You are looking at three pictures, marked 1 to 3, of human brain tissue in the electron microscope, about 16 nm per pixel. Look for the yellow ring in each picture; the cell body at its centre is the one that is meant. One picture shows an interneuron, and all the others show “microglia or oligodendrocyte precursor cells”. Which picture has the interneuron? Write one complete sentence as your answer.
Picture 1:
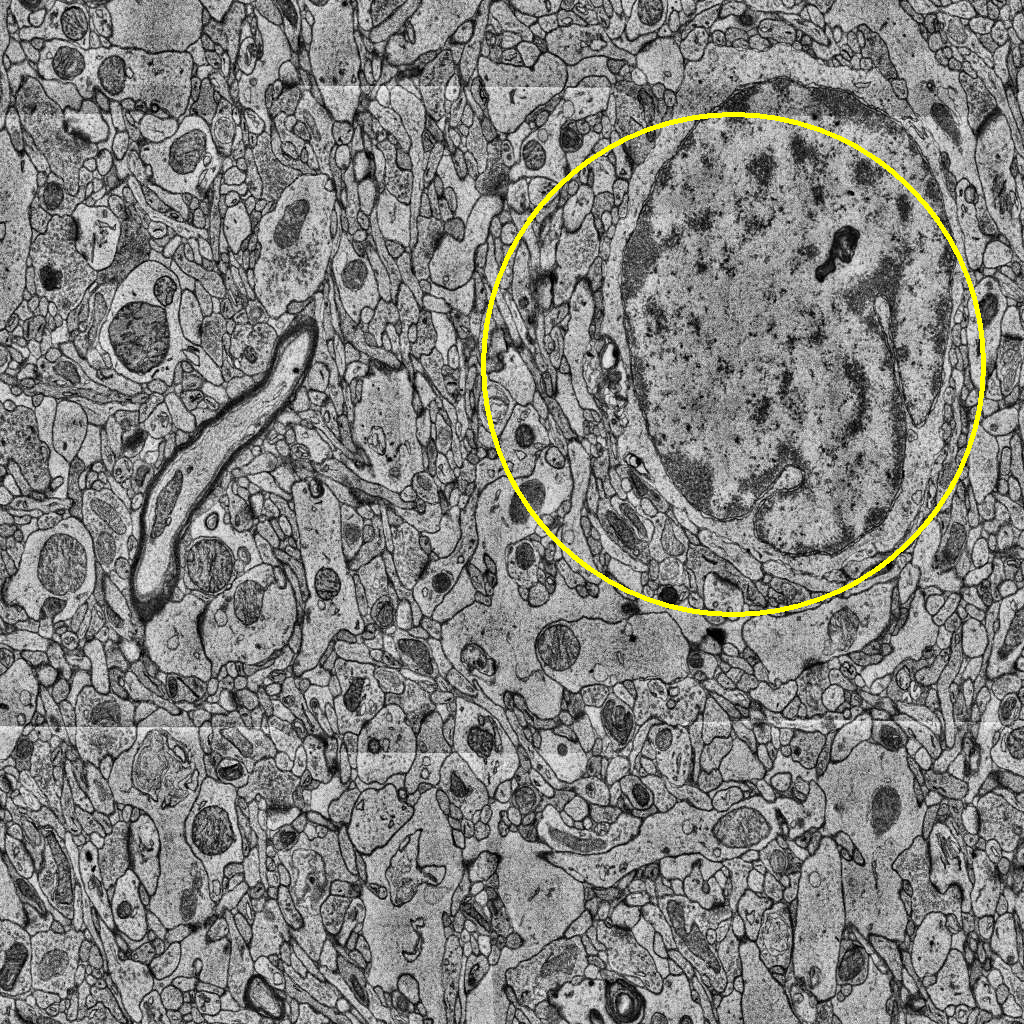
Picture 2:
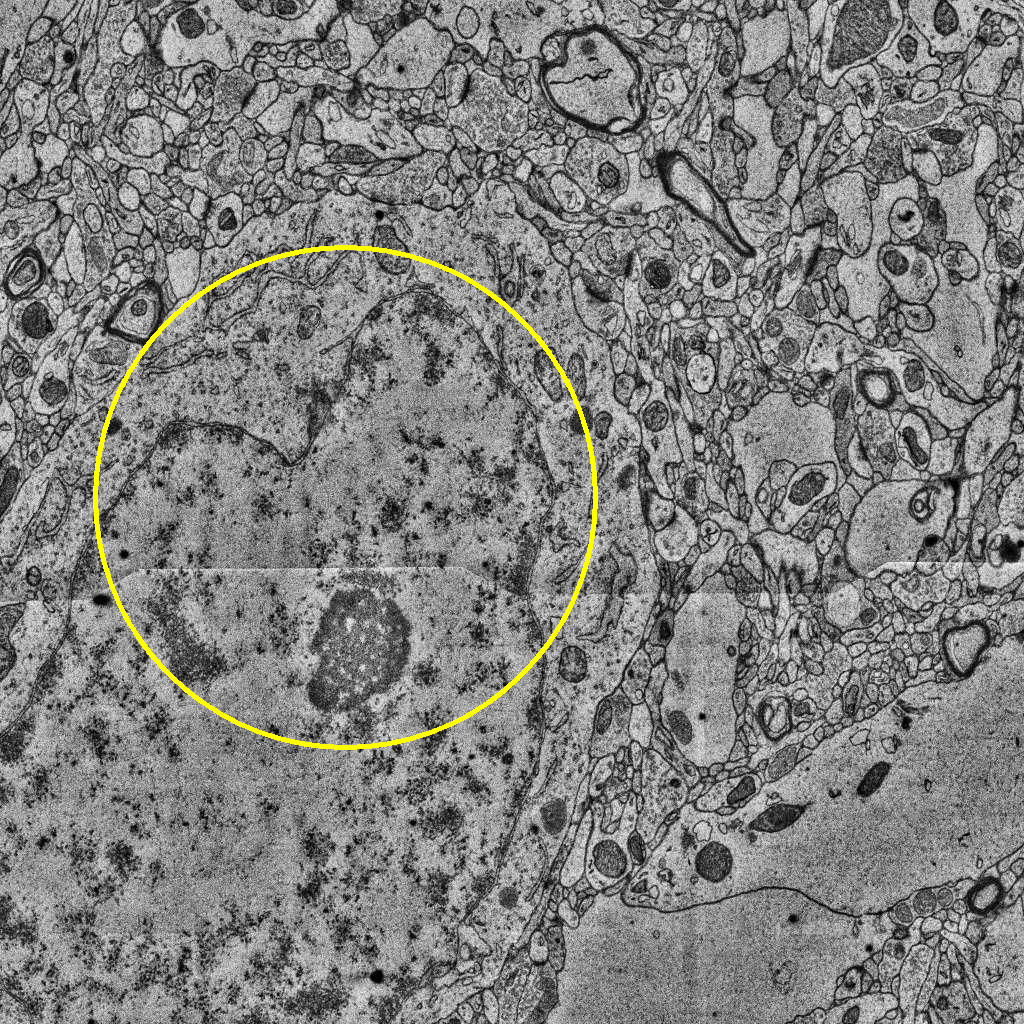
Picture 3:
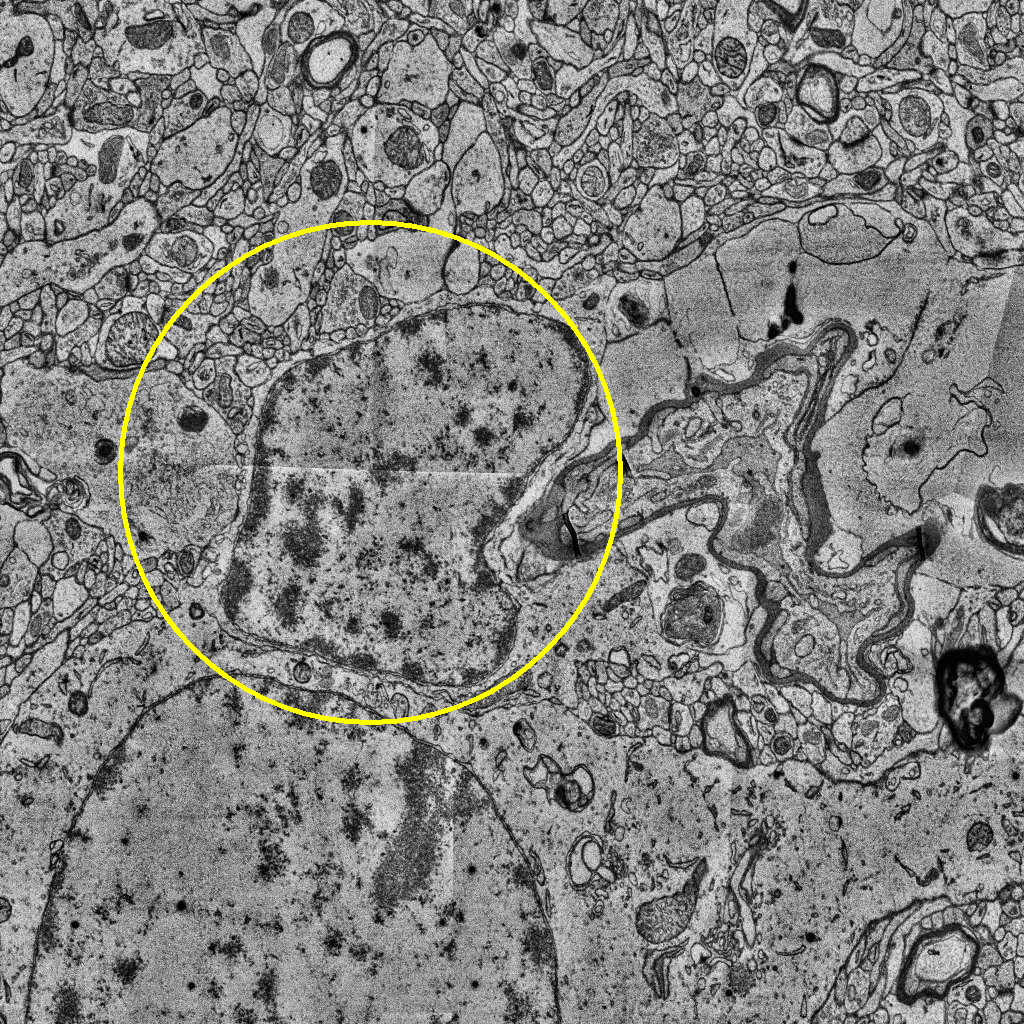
Picture 2 is the one that shows the interneuron.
